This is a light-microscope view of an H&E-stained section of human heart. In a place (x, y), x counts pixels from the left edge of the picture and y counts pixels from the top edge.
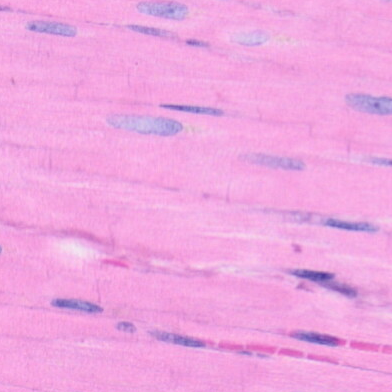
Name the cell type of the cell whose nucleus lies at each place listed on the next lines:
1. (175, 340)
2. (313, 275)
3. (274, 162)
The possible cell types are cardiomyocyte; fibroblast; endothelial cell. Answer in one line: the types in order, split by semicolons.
endothelial cell; endothelial cell; cardiomyocyte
